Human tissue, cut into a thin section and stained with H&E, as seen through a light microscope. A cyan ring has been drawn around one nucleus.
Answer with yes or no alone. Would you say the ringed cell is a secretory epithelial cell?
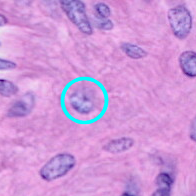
no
